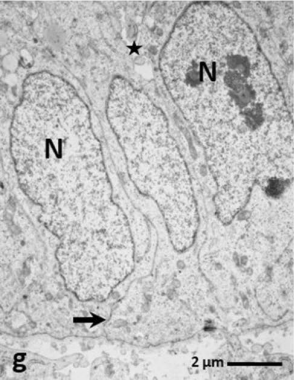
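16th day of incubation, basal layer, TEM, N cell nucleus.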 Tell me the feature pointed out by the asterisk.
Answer: Intercellular spaces.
